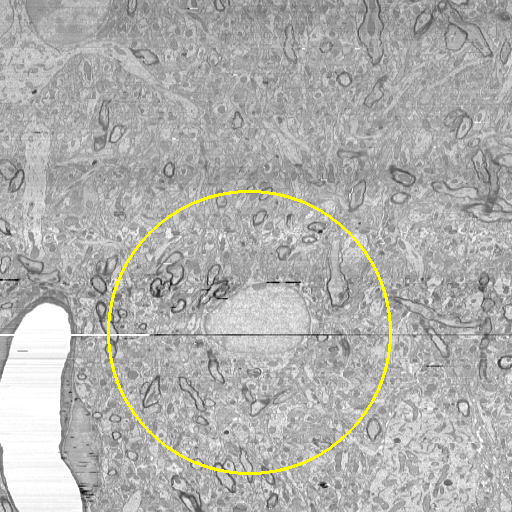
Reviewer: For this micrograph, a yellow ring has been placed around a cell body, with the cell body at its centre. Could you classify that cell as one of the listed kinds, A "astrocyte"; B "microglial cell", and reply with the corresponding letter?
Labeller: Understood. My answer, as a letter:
A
